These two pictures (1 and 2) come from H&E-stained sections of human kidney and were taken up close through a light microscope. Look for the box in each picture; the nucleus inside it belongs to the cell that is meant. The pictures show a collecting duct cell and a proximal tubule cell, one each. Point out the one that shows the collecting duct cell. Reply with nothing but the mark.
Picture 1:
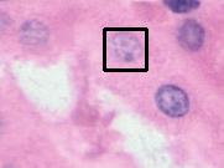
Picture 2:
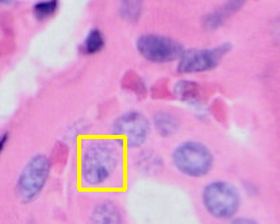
2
